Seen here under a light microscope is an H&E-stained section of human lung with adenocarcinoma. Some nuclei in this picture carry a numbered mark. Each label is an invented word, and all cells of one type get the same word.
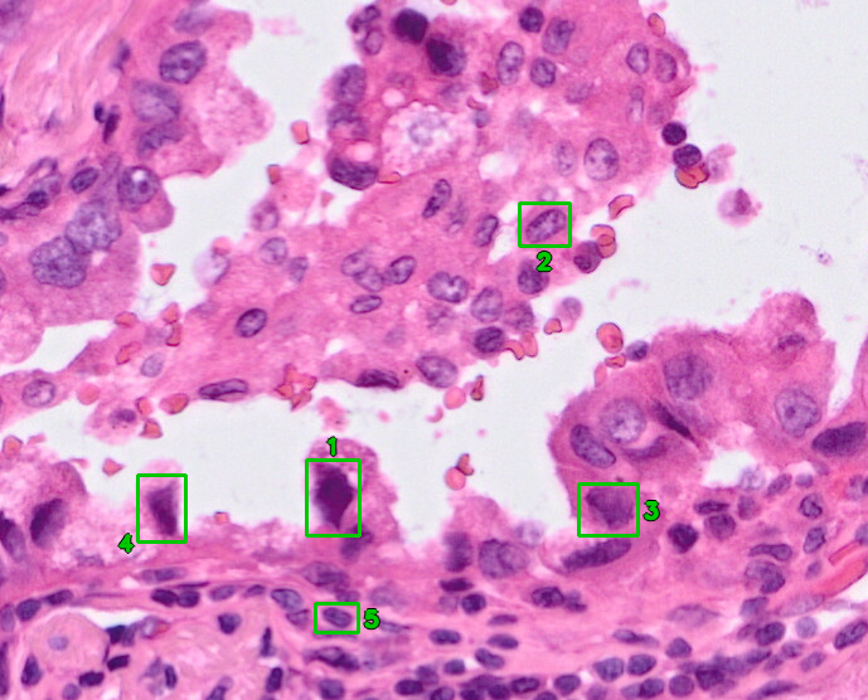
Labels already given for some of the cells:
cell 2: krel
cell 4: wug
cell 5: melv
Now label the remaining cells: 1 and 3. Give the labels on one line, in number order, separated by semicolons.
wug; wug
